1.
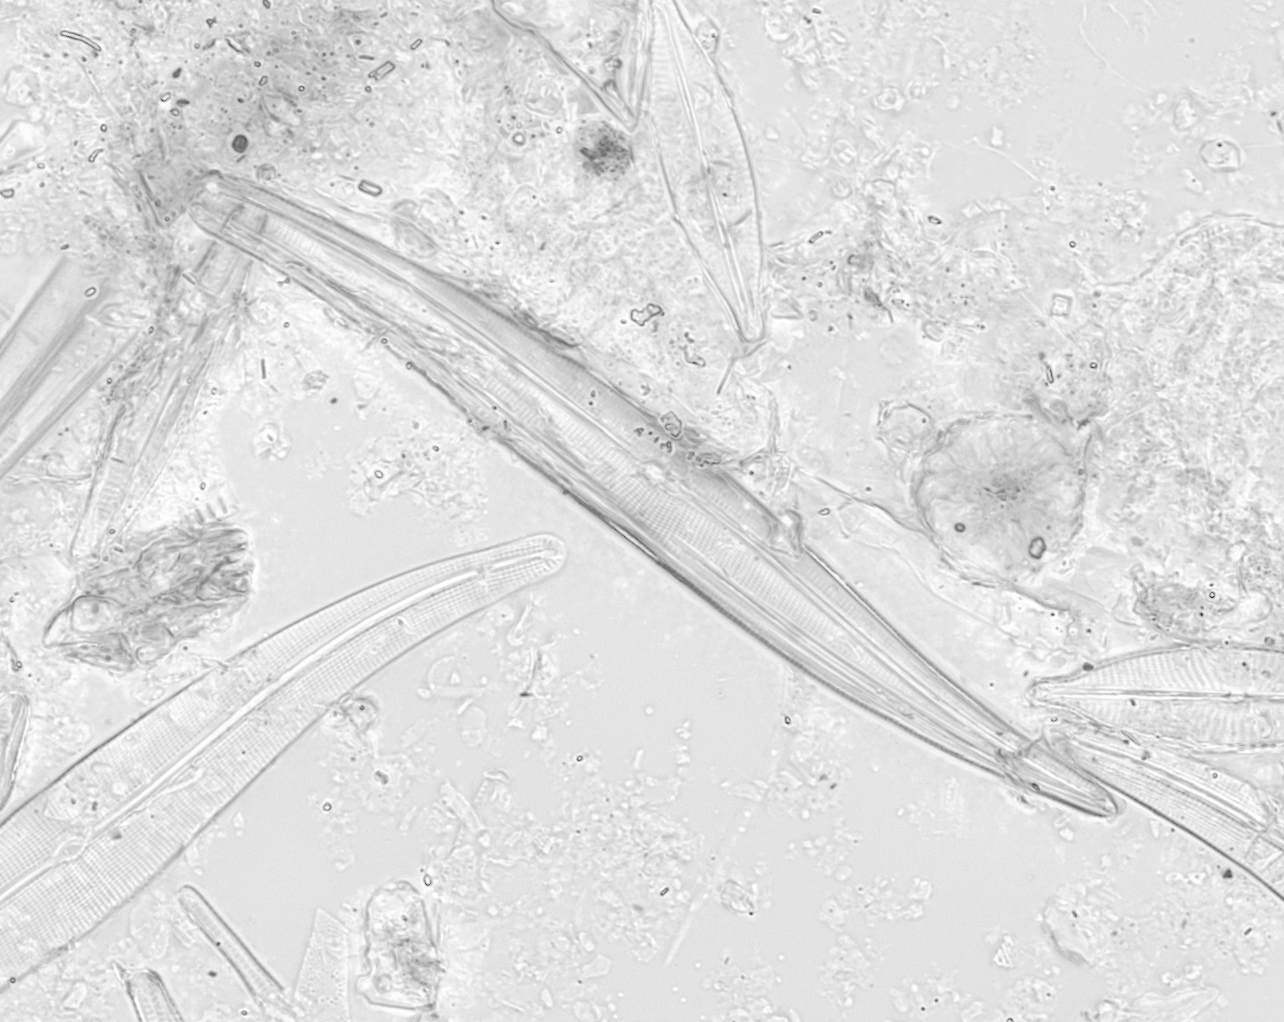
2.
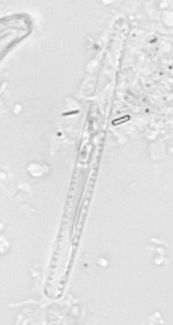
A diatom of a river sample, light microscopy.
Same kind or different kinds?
Different: the first is Gyrosigma, the second Nitzschia.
